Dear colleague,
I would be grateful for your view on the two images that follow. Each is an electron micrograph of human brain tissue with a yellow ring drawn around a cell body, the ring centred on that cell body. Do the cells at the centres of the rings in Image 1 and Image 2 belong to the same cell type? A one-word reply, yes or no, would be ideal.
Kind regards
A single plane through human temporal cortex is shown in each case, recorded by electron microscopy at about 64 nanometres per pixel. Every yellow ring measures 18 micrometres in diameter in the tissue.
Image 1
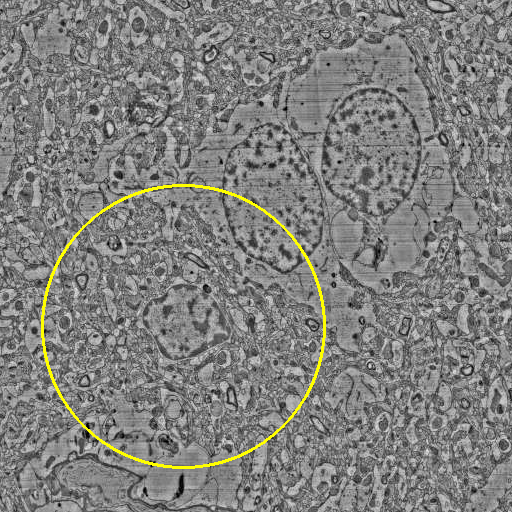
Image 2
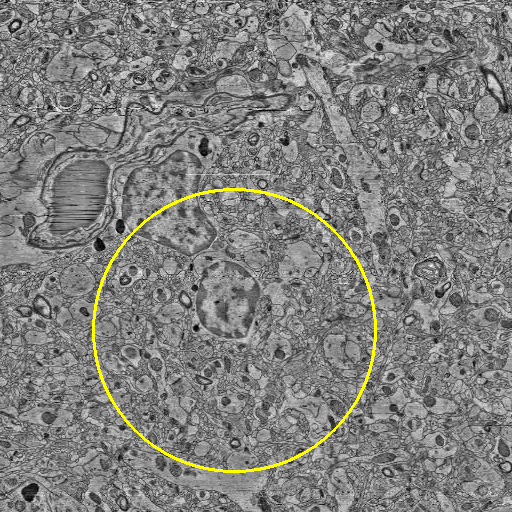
yes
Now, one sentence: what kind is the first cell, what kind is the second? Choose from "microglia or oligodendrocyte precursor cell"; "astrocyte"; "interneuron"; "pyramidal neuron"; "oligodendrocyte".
Both the first and the second picture show a microglial cell or oligodendrocyte precursor cell in the ring.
